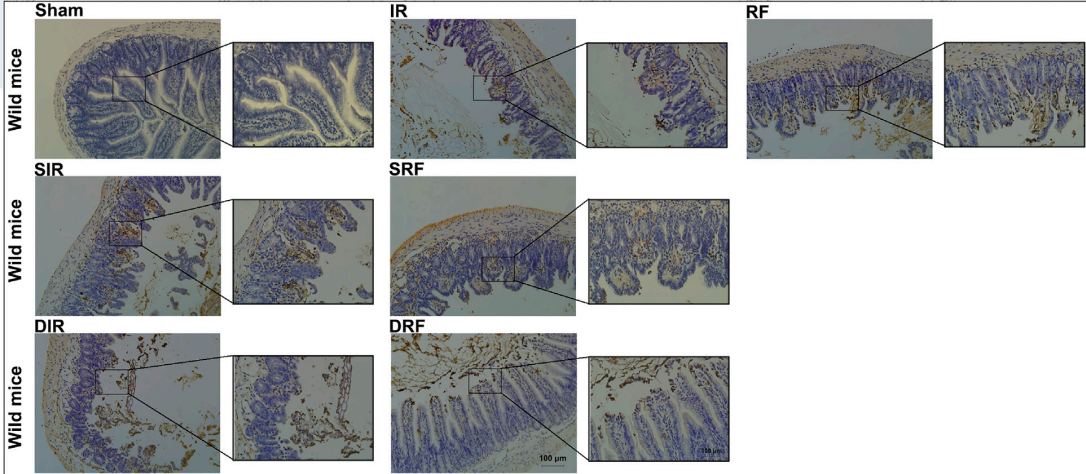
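Cross-sections of small intestine, with the mucosa forming villi that project into the lumen and a thin muscular wall outside. Nuclei are counterstained blue and lie along the villous epithelium. In one section the villi are long, slender and intact, with very few brown nuclei. In most of the others the villi are shortened, ragged and broken at their tips, and dark brown nuclei gather in the upper parts of the villi. Loose brown-stained cells and strands of debris lie free in the lumen beside the damaged mucosa. Some sections show villi that are better preserved, with fewer brown nuclei.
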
